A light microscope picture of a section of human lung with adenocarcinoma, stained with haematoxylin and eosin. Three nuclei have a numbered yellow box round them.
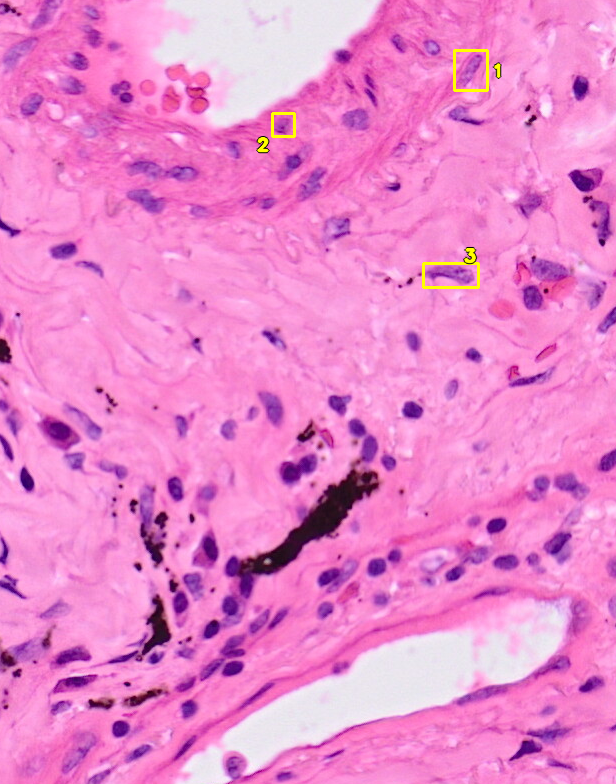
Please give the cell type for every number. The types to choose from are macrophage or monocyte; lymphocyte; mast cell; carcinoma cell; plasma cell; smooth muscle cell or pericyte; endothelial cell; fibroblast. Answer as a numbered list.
1. smooth muscle cell or pericyte
2. smooth muscle cell or pericyte
3. fibroblast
